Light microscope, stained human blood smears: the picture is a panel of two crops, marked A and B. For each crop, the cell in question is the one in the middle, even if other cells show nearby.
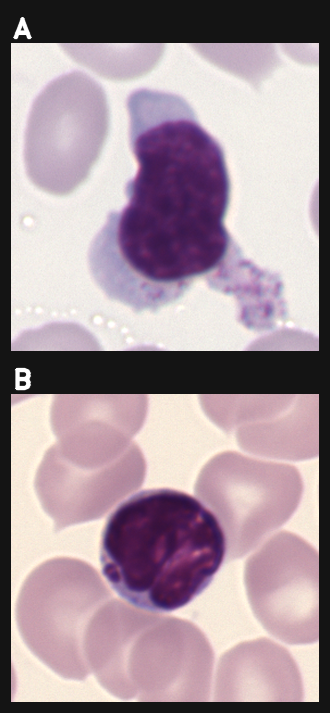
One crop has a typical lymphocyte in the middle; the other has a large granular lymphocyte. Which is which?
A: large granular lymphocyte
B: typical lymphocyte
